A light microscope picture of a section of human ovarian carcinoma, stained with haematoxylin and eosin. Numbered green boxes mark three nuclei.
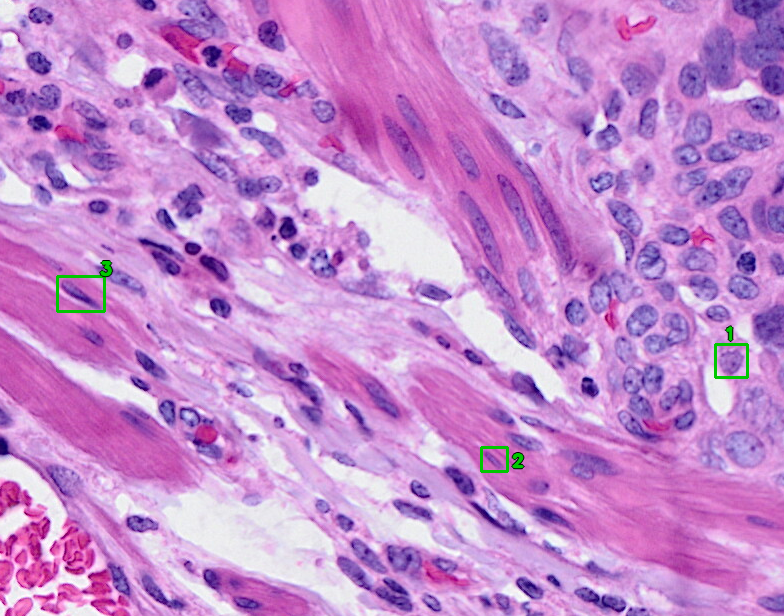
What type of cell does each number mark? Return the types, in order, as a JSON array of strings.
["macrophage or monocyte", "smooth muscle cell", "smooth muscle cell"]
